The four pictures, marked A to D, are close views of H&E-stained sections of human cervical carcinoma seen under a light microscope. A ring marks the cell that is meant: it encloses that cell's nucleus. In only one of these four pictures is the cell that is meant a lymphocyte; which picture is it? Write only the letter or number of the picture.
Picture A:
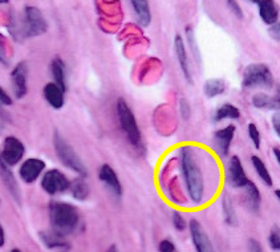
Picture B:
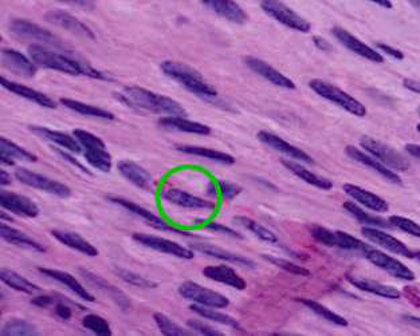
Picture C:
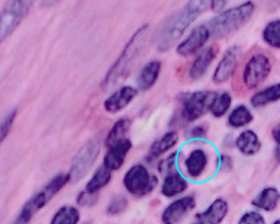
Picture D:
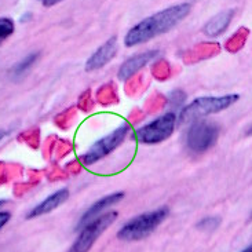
C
